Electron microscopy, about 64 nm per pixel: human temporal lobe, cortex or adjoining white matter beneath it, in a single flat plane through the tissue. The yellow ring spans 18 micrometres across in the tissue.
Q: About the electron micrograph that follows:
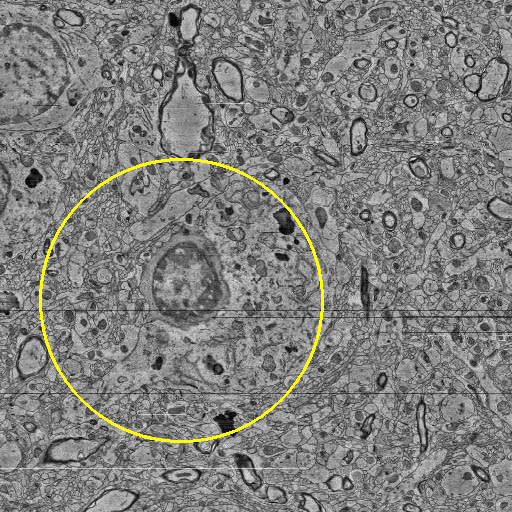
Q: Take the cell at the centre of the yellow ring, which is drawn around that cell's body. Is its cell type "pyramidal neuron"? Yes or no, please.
No, its type is another one.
